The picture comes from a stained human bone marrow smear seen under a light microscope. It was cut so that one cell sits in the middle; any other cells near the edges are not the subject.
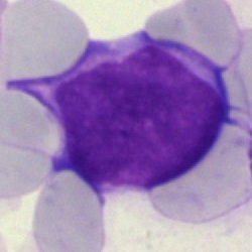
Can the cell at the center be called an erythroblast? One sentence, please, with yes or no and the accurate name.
No, mark the middle cell as a blast, not an erythroblast.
